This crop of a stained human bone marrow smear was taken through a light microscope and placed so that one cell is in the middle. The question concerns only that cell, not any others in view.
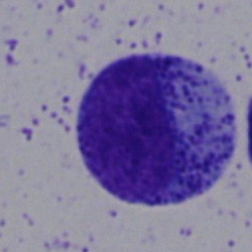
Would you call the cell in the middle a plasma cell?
no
